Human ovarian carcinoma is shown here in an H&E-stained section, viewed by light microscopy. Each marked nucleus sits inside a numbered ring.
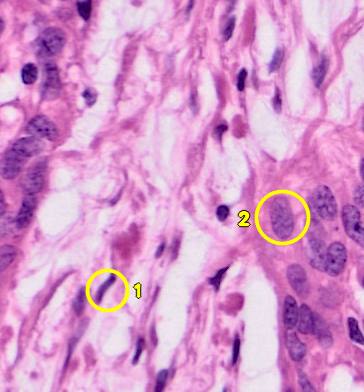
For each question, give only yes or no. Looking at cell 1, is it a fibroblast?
yes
